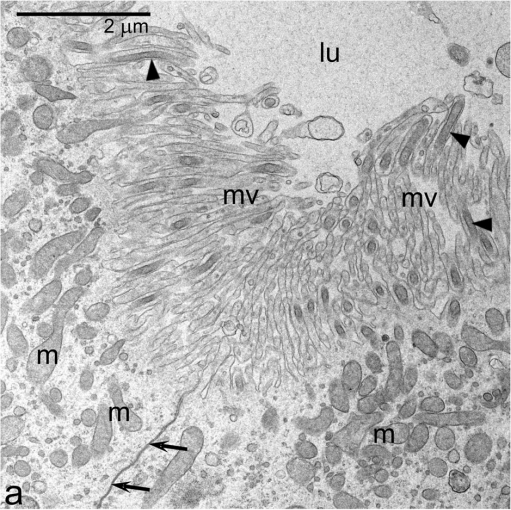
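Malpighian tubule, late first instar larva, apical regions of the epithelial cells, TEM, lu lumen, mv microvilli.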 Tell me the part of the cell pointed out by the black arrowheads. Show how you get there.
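Elongated mitochondria. The arrowheads point to long dense rod-shaped bodies inside the microvilli. The rods lie lengthwise along the microvilli, reaching toward the lumen.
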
